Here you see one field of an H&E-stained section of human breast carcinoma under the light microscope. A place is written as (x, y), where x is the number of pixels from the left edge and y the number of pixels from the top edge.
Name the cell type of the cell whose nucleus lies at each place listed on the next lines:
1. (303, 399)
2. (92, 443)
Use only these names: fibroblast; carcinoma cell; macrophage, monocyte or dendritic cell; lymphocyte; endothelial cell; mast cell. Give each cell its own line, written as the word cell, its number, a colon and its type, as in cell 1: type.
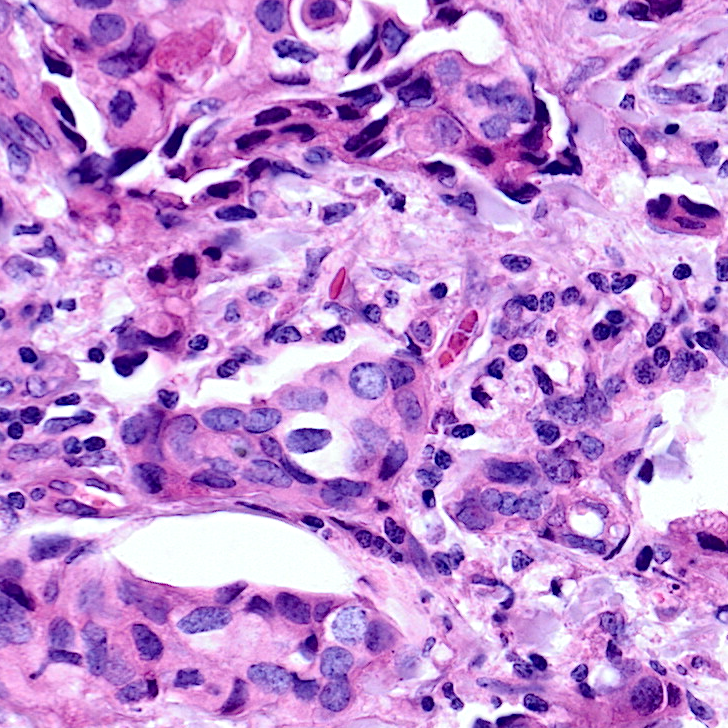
cell 1: carcinoma cell
cell 2: lymphocyte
